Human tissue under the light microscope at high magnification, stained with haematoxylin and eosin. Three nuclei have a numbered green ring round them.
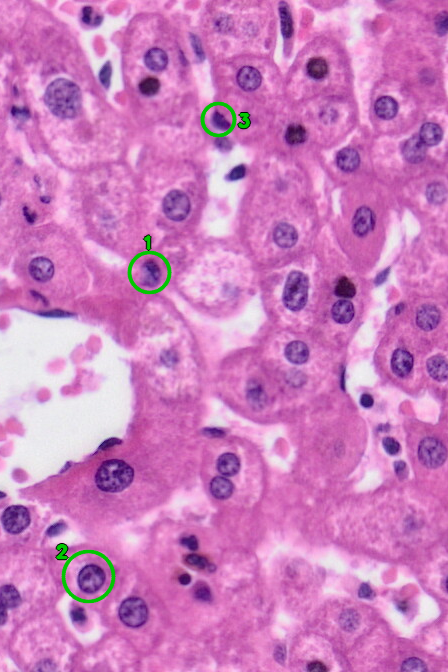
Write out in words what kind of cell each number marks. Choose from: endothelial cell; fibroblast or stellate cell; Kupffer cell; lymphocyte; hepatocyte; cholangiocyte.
Cells 1 and 3 are fibroblasts or stellate cells. Cell 2 is a hepatocyte.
